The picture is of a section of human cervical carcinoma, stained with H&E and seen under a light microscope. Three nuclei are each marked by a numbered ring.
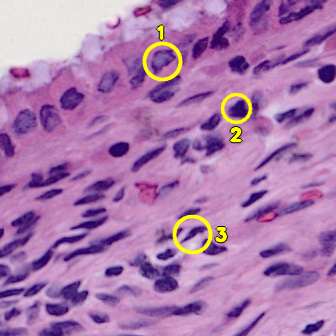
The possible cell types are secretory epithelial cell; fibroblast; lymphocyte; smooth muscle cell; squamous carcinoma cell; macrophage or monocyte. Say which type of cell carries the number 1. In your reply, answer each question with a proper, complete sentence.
Here, the cell given the number 1 is a secretory epithelial cell.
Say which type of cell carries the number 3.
In the marked set, the cell given number 3 is a fibroblast.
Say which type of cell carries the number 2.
Heads up, the cell numbered 2 is a lymphocyte.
